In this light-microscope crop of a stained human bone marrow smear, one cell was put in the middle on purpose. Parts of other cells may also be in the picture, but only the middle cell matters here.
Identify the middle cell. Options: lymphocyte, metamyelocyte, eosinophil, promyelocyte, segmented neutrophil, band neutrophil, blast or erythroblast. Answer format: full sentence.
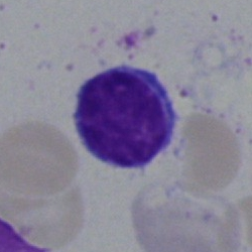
The centered cell in this crop is a lymphocyte.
